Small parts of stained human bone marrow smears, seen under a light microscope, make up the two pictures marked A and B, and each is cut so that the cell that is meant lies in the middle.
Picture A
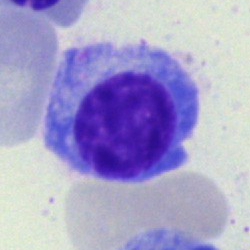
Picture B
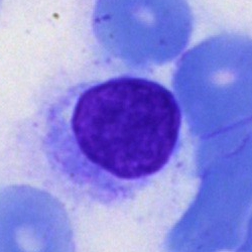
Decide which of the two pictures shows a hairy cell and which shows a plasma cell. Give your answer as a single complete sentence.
It is picture A that shows a plasma cell, and picture B that shows a hairy cell.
